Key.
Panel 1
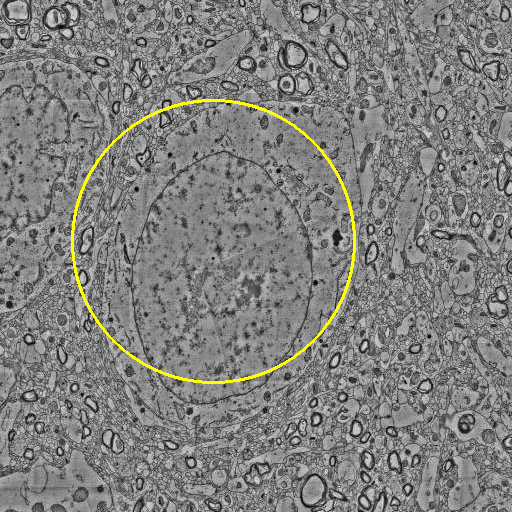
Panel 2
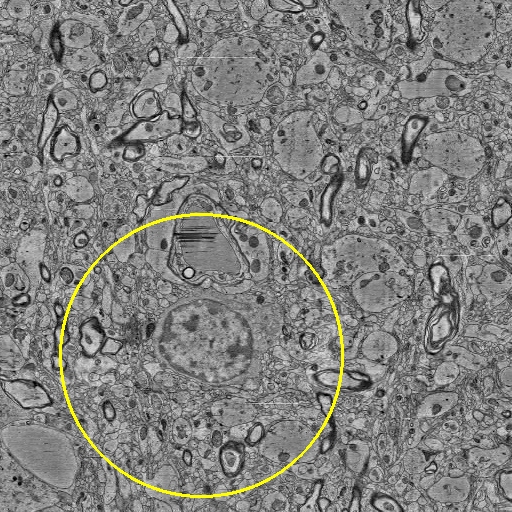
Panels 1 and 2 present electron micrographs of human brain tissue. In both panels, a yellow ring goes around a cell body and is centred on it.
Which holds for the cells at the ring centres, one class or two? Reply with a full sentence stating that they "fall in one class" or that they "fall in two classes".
Taken together, the ring-centre cells of the two panels fall in two classes.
